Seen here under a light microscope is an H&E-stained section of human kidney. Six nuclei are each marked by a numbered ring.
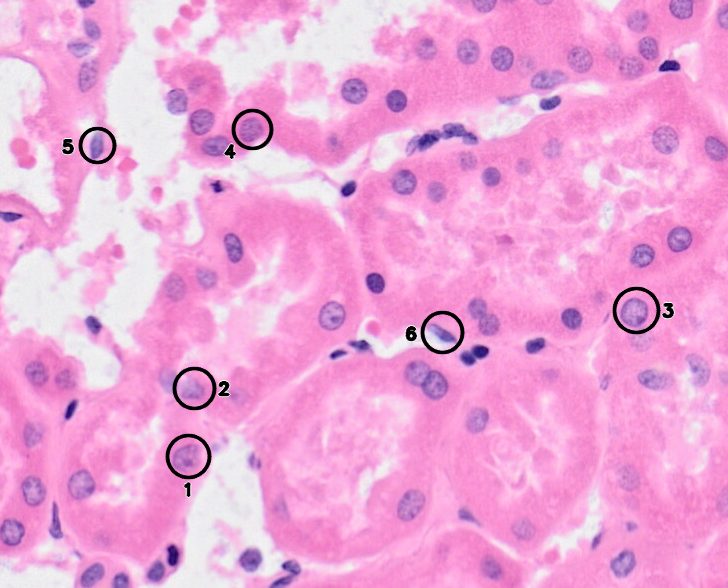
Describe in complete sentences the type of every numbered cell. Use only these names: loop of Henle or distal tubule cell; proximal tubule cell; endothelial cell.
Cells 1, 2, 3 and 4 are proximal tubule cells. Cells 5 and 6 are endothelial cells.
